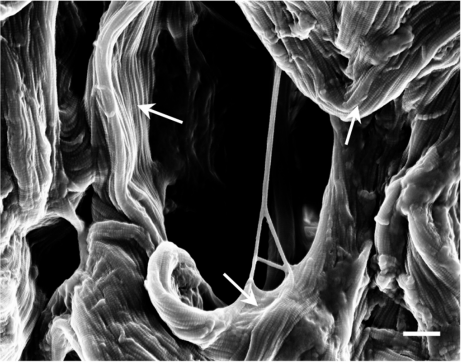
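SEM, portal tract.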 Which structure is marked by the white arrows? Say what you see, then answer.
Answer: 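The arrows point to bundles of long, parallel fibrils. The fibrils run in wavy, rope-like bundles that bridge open spaces.
Conclusion: Collagen fibers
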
